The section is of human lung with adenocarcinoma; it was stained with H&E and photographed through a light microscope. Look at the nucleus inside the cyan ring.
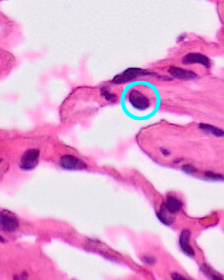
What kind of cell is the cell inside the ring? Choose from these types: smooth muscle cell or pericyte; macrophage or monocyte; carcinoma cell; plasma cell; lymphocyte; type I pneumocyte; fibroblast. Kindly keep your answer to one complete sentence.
In cell-type terms, the cell inside the ring is a type I pneumocyte.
